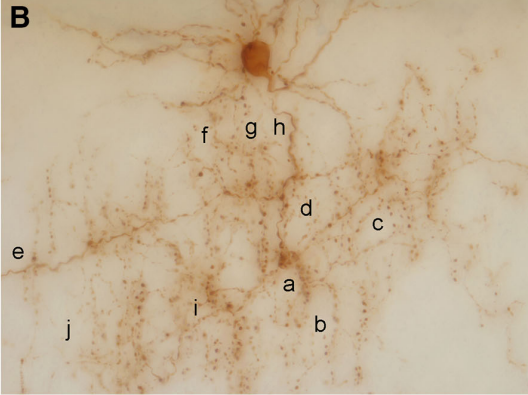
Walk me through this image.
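A single brown-filled neuron of the cortex sits at the top, its round dark soma giving off thin, branching dendrites that spread sideways and upward. Below it lies a dense axonal arbor of fine brown fibres studded with beads. Many fibres end in short, vertically oriented rows of boutons, stacked like candles, grouped in several patches across the field. The background tissue is pale and unstained. The vertical bead strings are the axonal cartridges of a chandelier cell, each a row of terminals that would line up along the initial segment of a neighbouring neuron's axon.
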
